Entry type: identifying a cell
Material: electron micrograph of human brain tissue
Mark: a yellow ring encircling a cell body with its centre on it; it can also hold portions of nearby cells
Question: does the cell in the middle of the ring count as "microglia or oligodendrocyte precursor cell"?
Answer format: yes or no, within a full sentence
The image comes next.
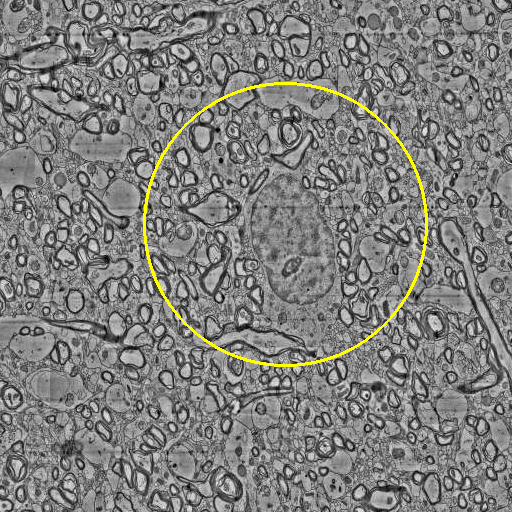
No, in the image, the cell in the middle of the yellow ring counts as a different kind.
